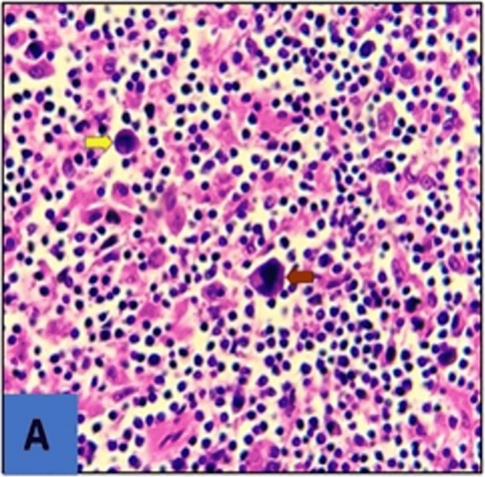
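A tumour of classical Hodgkin type, with a few large tumour cells scattered in a reactive inflammatory background. Most of the field is packed with small round cells with dense, dark purple nuclei and scant cytoplasm. Between them lie larger cells with abundant pink cytoplasm and oval nuclei, some elongated. Near the centre stands a very large cell with a big, deeply stained, lobed nuclear mass, far larger than anything around it. Higher up is another large cell with a single round, dark nucleus. The large atypical cells are few and lie isolated among the small cells, without forming sheets.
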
